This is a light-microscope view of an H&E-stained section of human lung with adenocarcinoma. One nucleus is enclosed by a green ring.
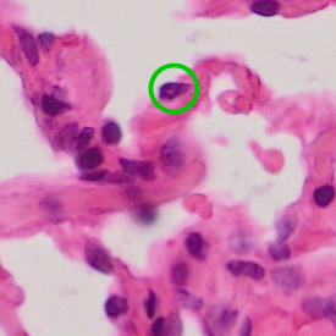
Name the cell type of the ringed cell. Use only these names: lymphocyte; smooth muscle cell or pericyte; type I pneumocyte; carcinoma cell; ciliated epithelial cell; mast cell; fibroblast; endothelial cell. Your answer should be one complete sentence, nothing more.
The identity of the ringed cell: it is a type I pneumocyte.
